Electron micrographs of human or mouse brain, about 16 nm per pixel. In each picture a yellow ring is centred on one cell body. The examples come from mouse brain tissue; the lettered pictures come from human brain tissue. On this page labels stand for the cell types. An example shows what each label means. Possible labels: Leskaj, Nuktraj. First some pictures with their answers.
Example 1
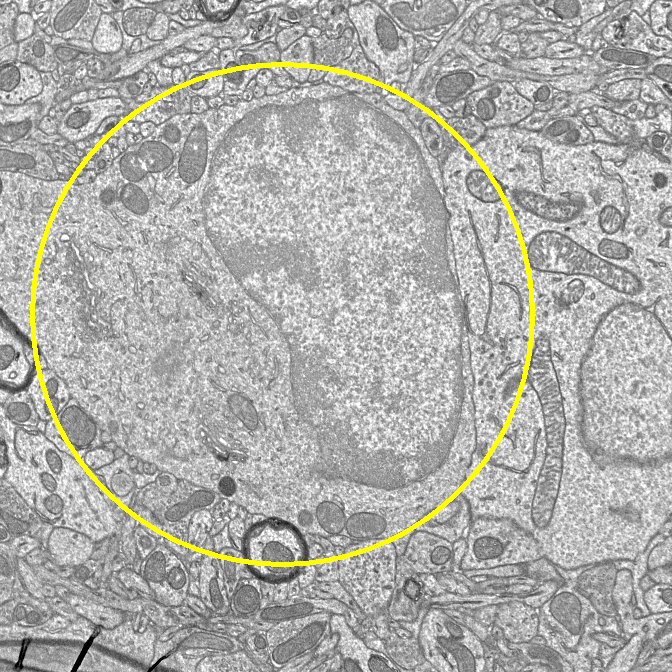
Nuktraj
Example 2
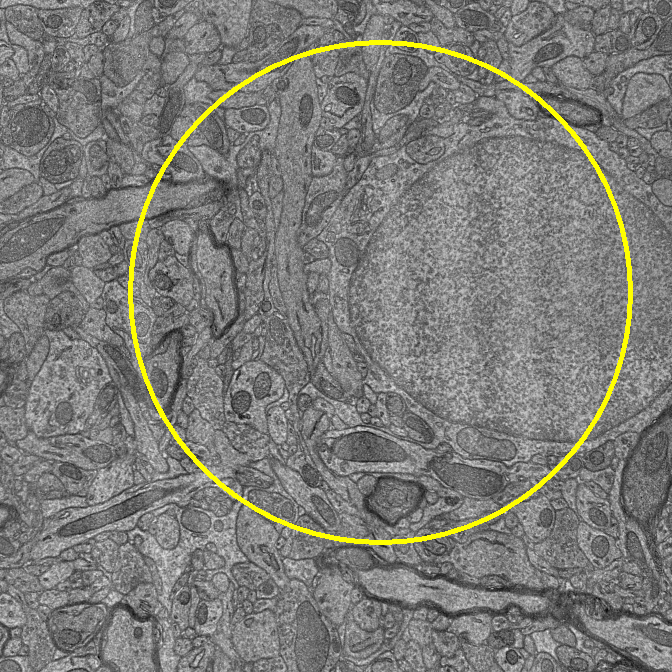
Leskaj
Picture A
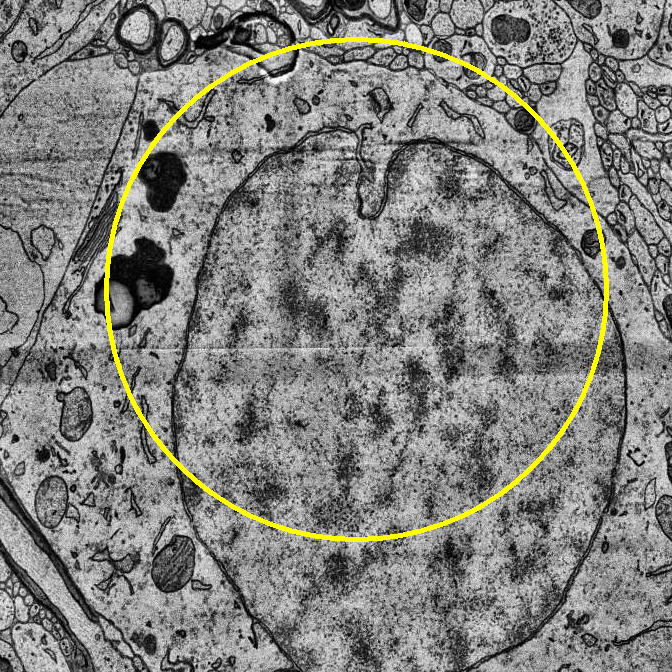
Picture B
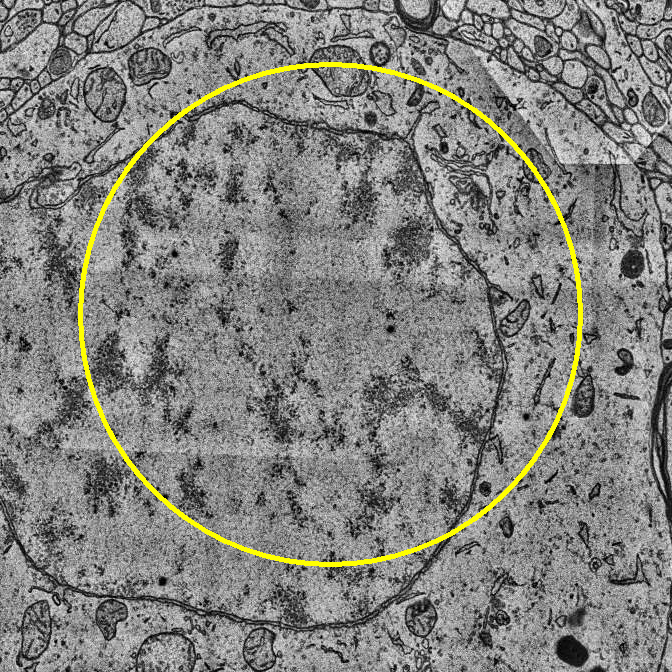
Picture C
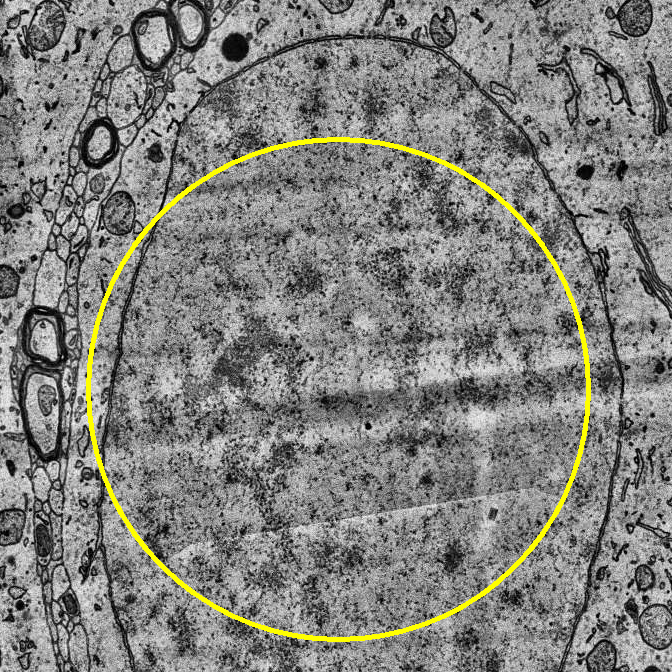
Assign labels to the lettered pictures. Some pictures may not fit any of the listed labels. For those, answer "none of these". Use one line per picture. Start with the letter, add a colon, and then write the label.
A: none of these
B: none of these
C: none of these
